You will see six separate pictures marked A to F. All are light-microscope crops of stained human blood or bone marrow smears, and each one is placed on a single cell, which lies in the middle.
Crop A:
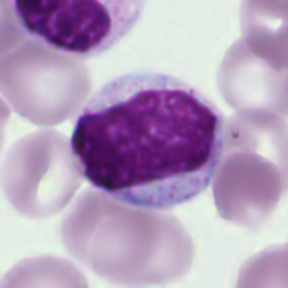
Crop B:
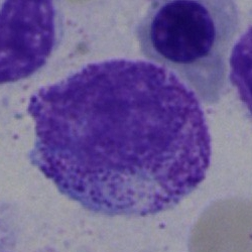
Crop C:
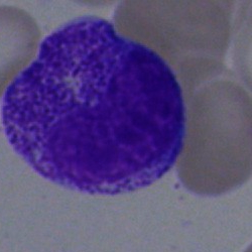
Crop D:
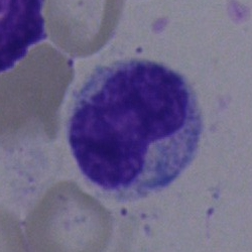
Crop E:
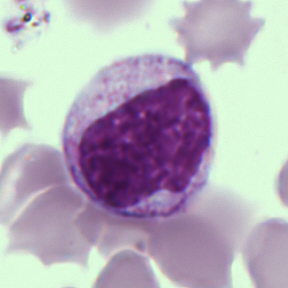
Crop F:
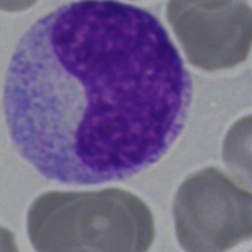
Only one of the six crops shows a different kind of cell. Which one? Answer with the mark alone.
B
